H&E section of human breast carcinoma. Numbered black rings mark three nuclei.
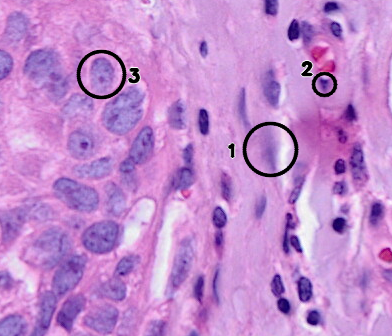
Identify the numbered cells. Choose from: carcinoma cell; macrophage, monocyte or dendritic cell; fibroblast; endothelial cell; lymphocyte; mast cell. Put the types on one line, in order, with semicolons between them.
fibroblast; endothelial cell; carcinoma cell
